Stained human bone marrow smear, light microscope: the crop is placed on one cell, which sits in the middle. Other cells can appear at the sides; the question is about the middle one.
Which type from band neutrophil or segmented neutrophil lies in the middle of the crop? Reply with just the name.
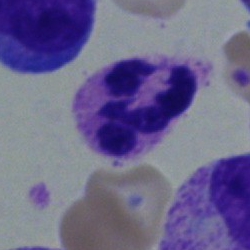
segmented neutrophil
